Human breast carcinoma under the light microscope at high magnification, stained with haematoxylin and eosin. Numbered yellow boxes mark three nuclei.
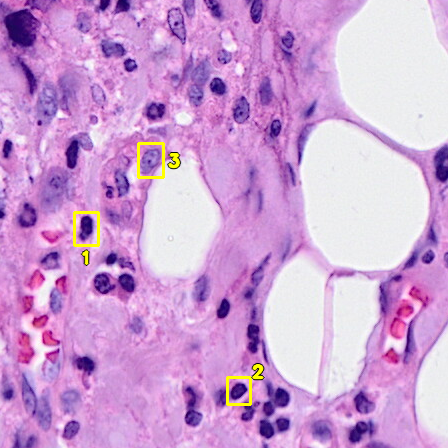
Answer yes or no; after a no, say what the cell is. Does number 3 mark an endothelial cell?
Yes.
